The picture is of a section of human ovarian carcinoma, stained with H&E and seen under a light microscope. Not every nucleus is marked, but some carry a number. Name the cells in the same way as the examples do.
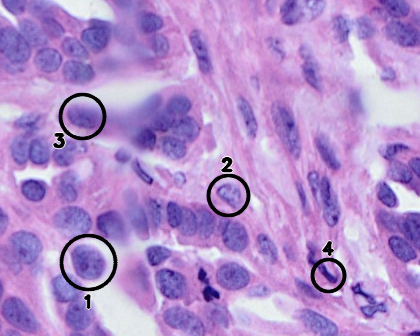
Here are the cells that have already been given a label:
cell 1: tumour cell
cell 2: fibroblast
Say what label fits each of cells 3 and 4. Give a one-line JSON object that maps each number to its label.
{"3": "tumour cell", "4": "fibroblast"}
